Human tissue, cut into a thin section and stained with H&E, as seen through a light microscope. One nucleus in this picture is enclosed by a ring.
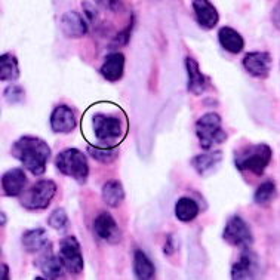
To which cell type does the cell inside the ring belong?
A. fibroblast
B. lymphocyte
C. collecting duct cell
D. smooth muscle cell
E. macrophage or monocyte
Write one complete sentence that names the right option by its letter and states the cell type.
Option B is the right choice, for the cell inside the ring is a lymphocyte.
